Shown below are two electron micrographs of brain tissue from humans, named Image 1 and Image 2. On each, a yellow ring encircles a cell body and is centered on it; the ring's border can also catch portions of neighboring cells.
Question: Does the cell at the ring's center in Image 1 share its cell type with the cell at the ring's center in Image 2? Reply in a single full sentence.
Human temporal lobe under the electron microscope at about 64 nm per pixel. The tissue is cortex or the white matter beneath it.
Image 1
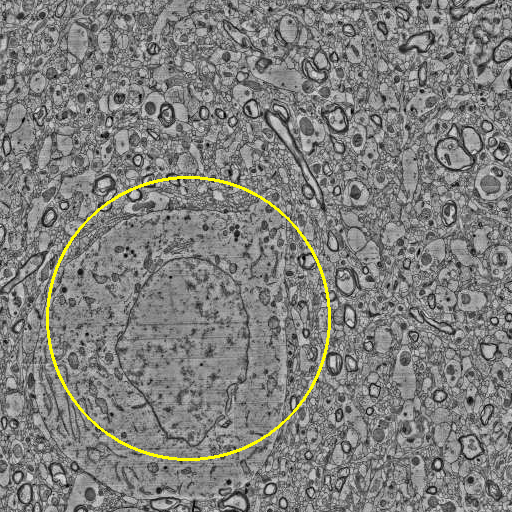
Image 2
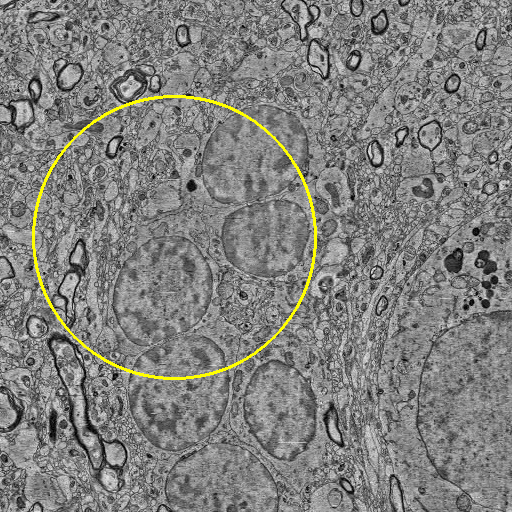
No, the two cells at the ring centers, in Image 1 and Image 2, are of two cell types.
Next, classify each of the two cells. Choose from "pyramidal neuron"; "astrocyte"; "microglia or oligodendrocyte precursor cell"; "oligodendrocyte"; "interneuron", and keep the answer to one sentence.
In the first picture it is a pyramidal neuron; in the second it is an oligodendrocyte.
